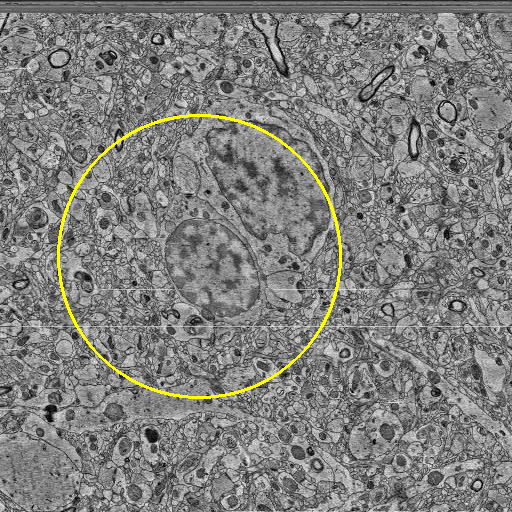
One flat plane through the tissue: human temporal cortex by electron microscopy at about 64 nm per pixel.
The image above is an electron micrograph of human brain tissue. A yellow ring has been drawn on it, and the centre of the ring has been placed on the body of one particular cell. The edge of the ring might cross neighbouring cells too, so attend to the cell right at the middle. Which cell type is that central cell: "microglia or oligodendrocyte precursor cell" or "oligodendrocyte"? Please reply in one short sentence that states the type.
The central cell in the ring is an oligodendrocyte.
